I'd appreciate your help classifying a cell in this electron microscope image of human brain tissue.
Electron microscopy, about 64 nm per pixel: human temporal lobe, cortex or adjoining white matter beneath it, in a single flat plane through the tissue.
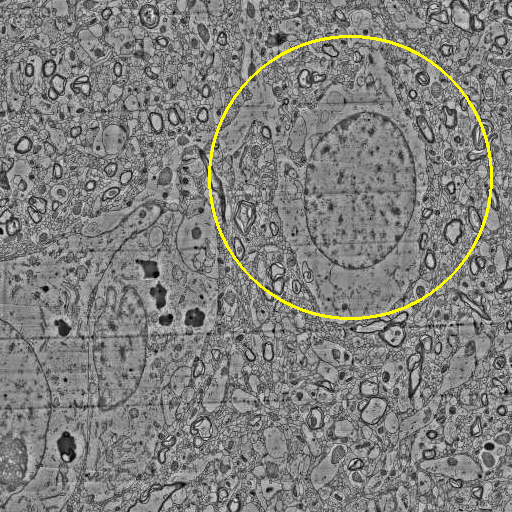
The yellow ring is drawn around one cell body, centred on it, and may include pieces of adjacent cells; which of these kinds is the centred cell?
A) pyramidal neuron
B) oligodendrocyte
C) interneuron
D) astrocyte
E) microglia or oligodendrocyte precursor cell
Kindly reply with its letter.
D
